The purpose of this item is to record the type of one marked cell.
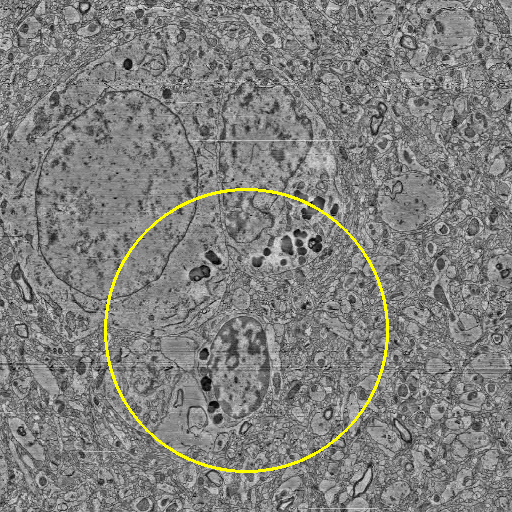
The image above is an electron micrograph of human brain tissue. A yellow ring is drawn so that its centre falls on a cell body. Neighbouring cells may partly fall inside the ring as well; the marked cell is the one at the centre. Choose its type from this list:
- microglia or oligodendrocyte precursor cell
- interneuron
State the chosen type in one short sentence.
What the ring marks here is a microglial cell or oligodendrocyte precursor cell.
